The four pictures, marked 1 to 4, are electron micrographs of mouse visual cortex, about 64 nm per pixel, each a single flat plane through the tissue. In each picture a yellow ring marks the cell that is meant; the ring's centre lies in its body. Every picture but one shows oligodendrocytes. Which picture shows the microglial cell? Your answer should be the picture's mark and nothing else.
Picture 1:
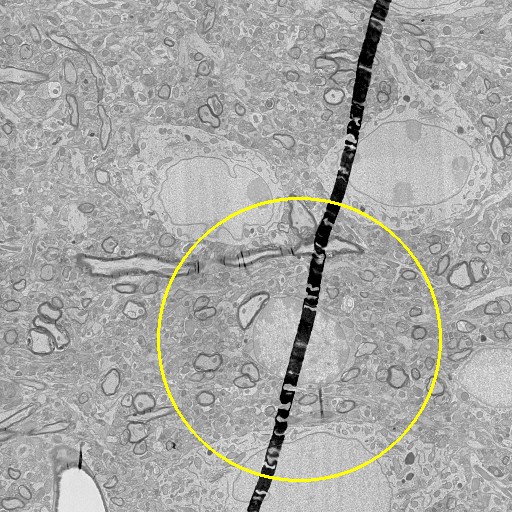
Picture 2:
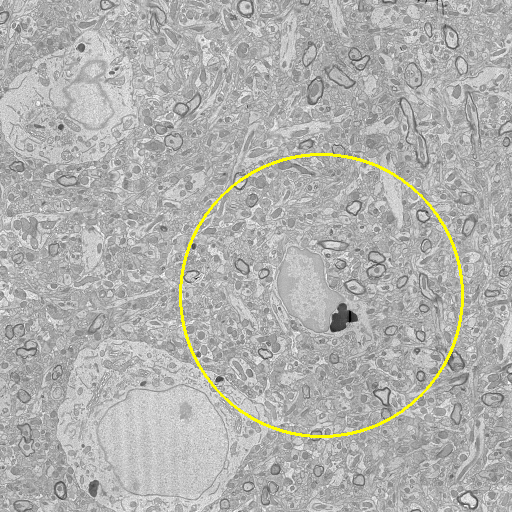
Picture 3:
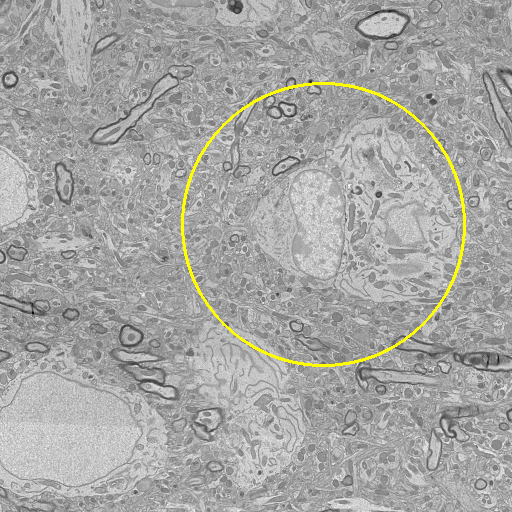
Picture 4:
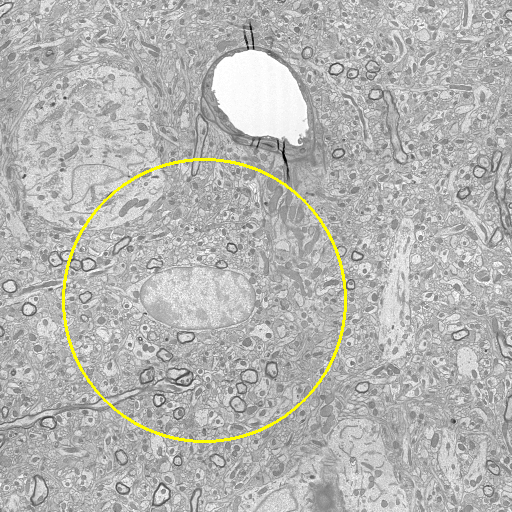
2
